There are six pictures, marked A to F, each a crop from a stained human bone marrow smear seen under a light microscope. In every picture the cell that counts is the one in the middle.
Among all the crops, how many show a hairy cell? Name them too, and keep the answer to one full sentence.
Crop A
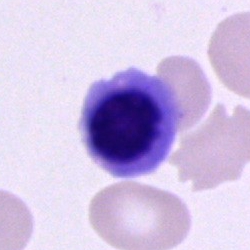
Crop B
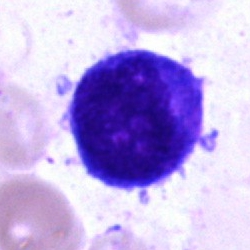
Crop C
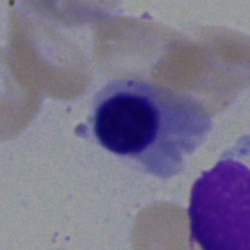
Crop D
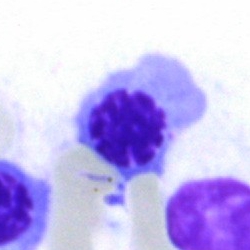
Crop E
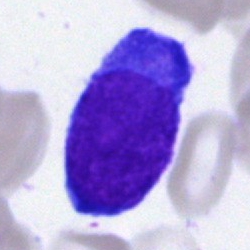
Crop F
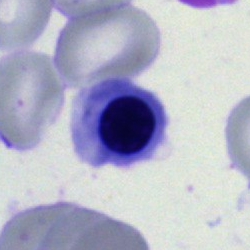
As none of the crops shows hairy cells, the number counted is zero.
